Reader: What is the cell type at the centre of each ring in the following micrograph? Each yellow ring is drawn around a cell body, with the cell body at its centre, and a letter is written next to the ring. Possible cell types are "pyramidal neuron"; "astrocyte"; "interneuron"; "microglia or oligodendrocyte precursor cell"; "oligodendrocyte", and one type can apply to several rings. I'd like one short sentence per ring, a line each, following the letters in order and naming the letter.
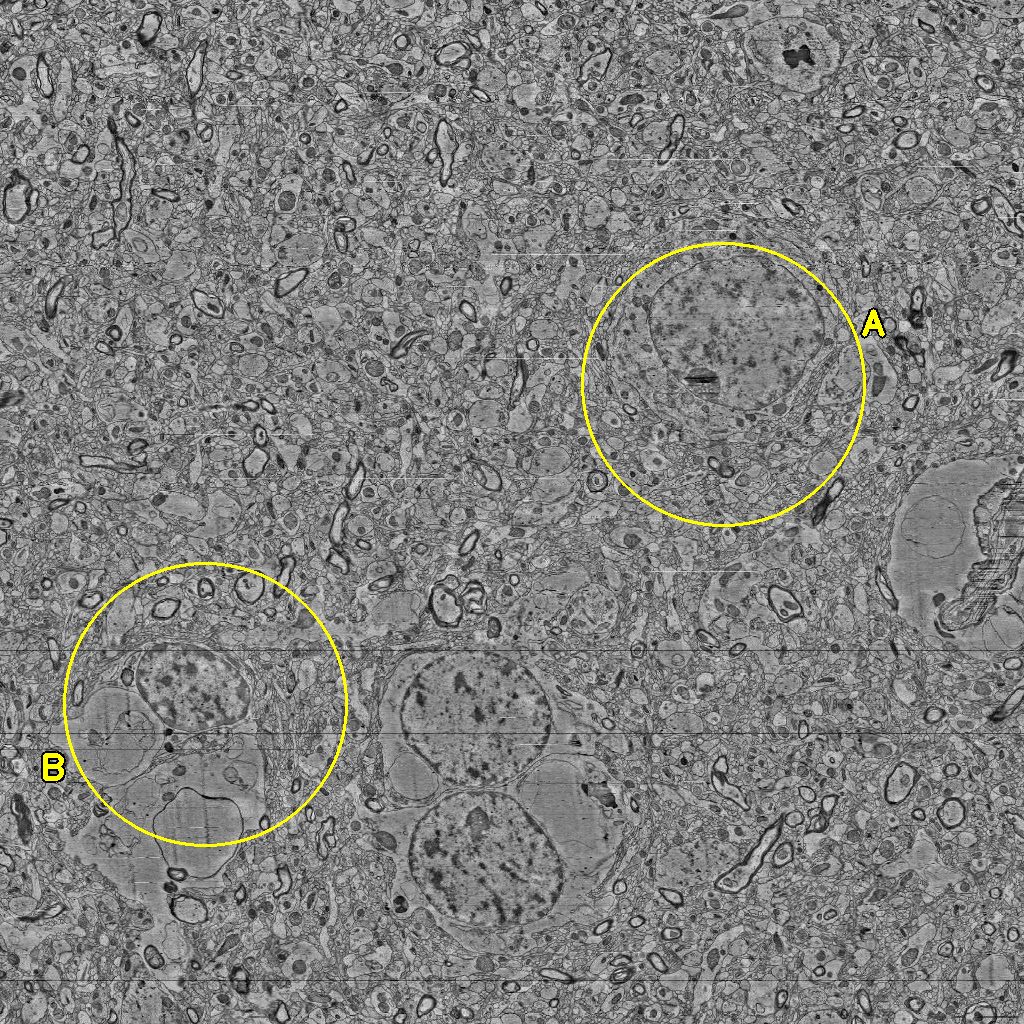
The cell body at the centre of ring A is that of an interneuron.
The cell body at the centre of ring B is that of a microglial cell or oligodendrocyte precursor cell.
